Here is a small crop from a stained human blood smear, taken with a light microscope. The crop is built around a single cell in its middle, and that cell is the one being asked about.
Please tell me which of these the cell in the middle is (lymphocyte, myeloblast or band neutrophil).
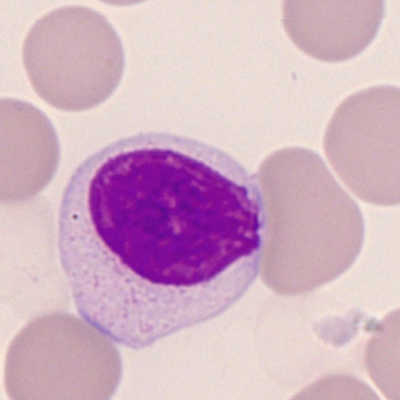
lymphocyte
